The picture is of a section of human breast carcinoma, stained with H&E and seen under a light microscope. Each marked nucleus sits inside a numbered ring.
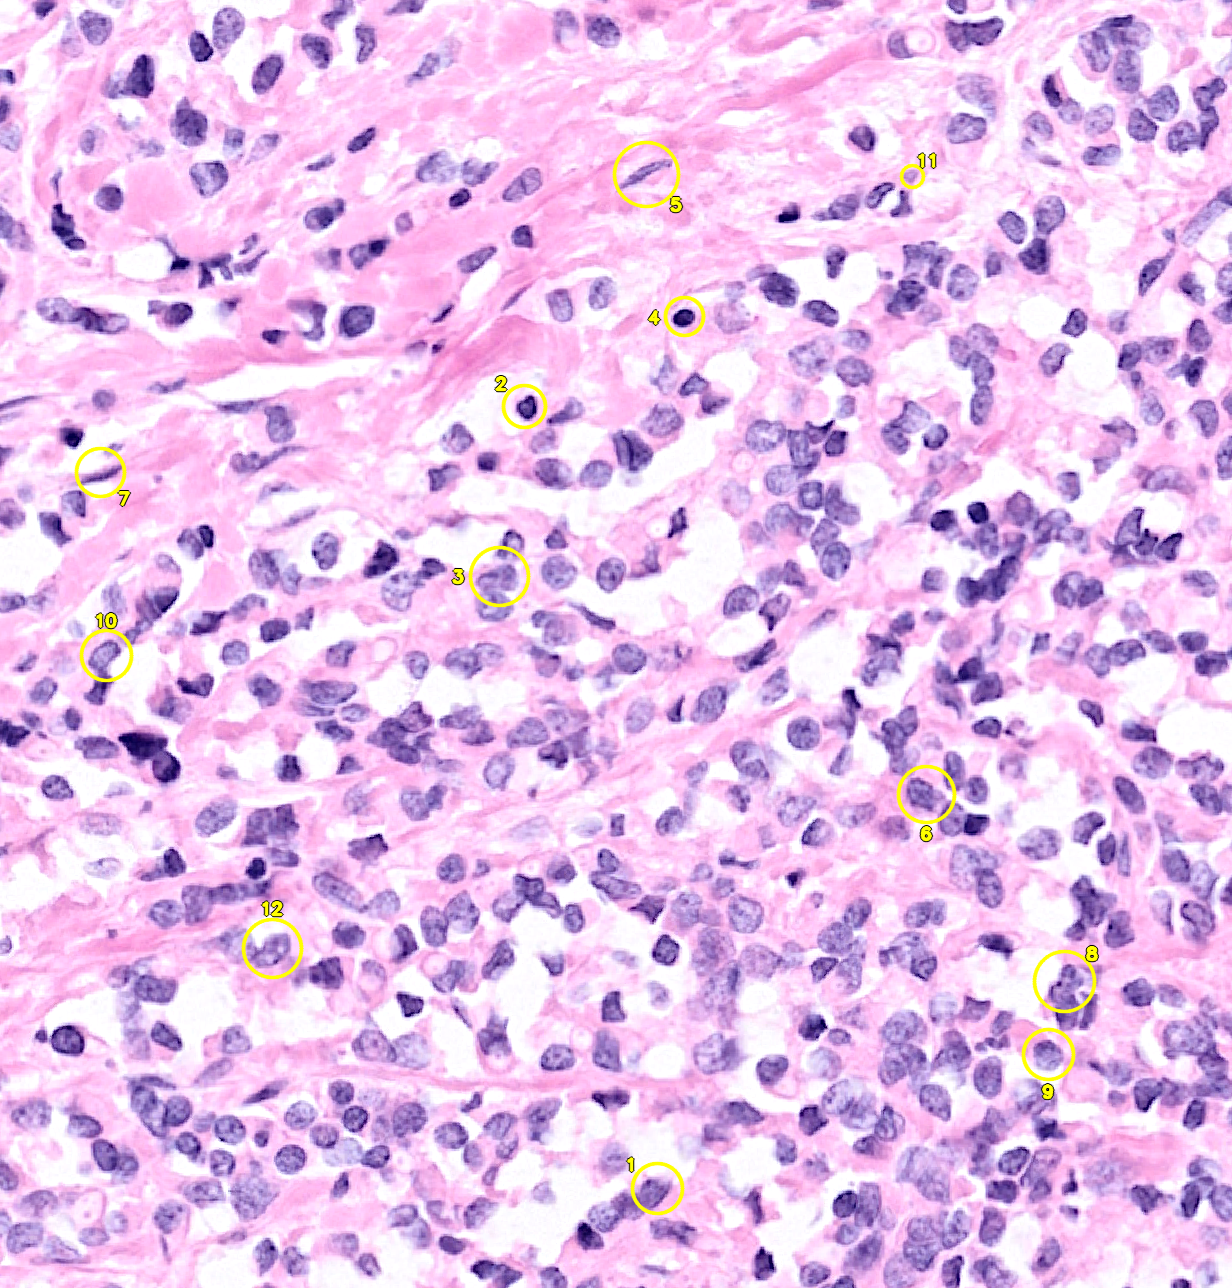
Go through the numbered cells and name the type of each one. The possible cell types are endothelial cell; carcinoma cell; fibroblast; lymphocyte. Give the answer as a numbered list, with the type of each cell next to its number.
1. carcinoma cell
2. lymphocyte
3. carcinoma cell
4. lymphocyte
5. fibroblast
6. carcinoma cell
7. fibroblast
8. carcinoma cell
9. carcinoma cell
10. carcinoma cell
11. endothelial cell
12. carcinoma cell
